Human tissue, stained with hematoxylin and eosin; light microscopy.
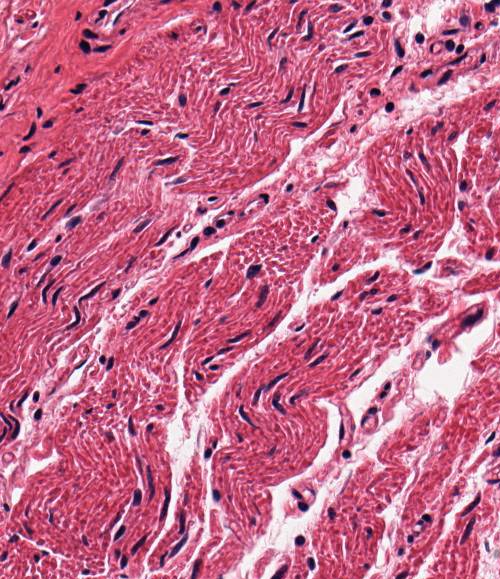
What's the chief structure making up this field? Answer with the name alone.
smooth muscle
